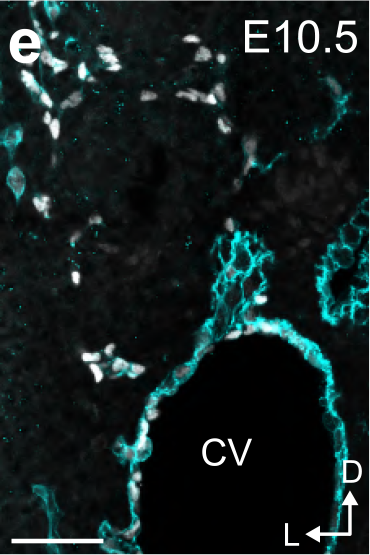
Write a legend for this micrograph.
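A thin cyan layer outlines the large dark lumen of the vein at the bottom right. White elongated nuclei sit within the venous lining on its dorsal side, and further white nuclei lie outside the vein, scattered in strands and small clusters in the tissue dorsal and lateral to it. The surrounding tissue is dark, with only faint background.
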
